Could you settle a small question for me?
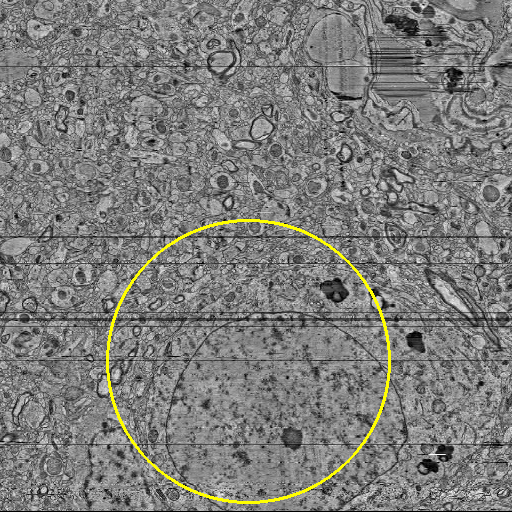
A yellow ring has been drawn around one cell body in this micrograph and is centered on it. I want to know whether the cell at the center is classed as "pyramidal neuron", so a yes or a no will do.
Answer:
yes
